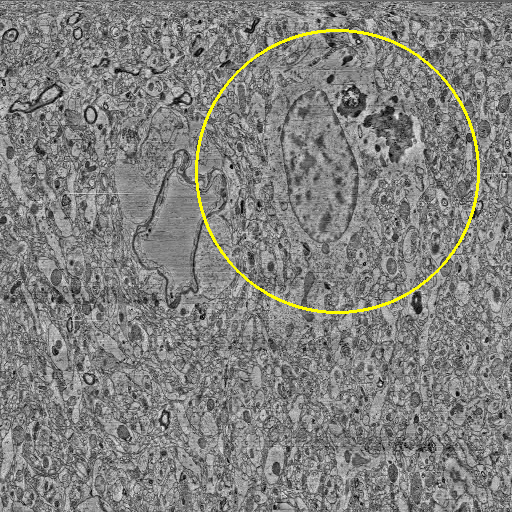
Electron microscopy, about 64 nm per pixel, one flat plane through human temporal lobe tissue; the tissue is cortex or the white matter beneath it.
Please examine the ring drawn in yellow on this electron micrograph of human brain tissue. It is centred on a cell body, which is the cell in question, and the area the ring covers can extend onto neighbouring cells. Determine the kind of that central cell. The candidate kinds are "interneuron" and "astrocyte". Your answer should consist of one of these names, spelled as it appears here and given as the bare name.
astrocyte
